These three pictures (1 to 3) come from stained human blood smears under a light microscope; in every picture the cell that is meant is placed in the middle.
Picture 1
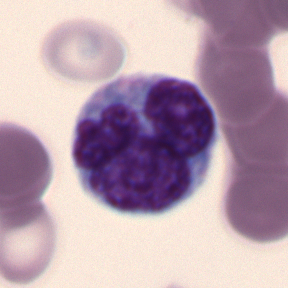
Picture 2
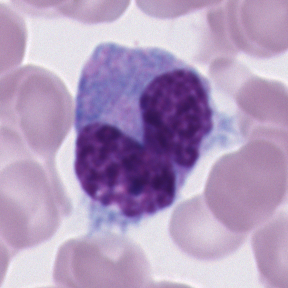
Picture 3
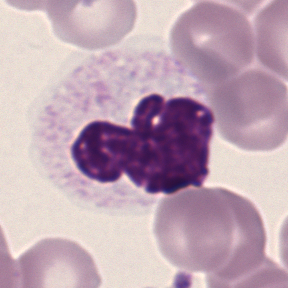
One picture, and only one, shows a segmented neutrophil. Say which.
3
